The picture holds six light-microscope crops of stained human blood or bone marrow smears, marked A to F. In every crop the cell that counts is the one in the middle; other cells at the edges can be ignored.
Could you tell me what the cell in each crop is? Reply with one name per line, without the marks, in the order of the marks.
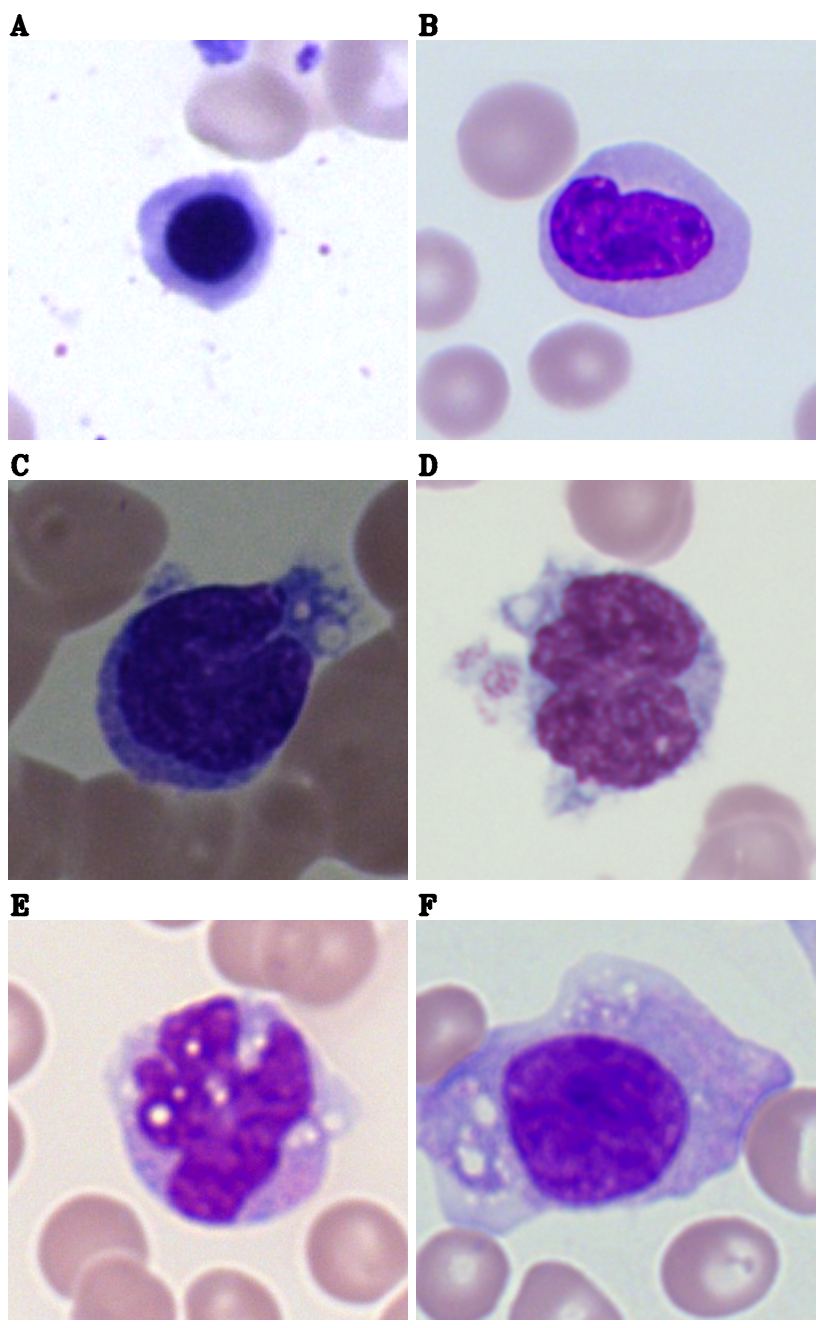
erythroblast
erythroblast
monocyte
monocyte
monocyte
monocyte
